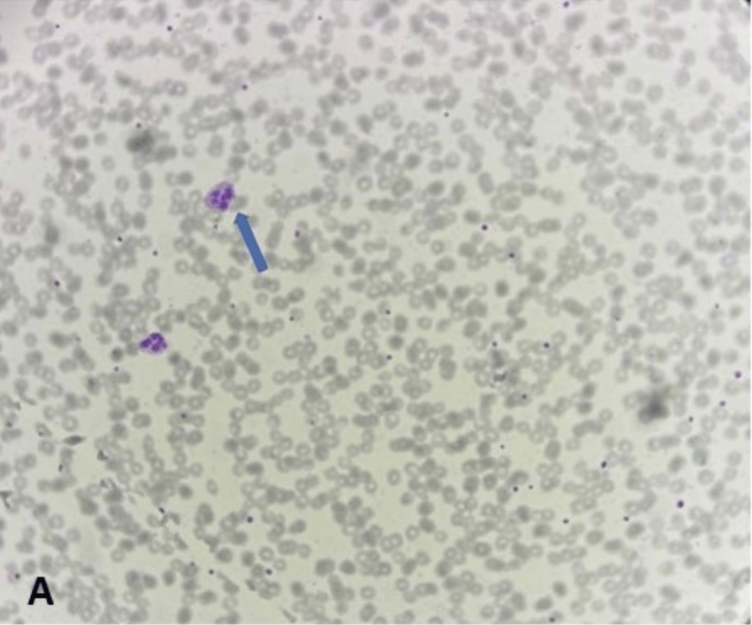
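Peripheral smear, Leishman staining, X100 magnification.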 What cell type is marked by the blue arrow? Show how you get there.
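The arrow points to a single nucleated cell among many pale, non-nucleated red cells. The marked cell has a purple nucleus that looks segmented into lobes. The answer: neutrophils.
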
